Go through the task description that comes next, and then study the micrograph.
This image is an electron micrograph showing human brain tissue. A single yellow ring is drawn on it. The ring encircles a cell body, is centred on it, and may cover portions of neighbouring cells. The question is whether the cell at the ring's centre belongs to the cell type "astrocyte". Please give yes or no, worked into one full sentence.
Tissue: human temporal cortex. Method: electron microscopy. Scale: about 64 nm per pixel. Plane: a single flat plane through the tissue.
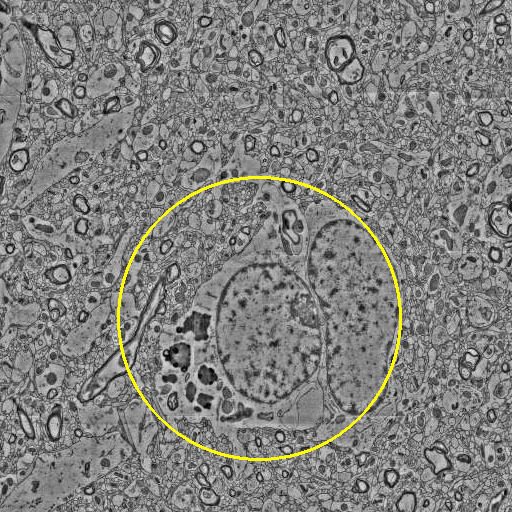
Yes, the cell that the ring is centred on in the micrograph is of this kind.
